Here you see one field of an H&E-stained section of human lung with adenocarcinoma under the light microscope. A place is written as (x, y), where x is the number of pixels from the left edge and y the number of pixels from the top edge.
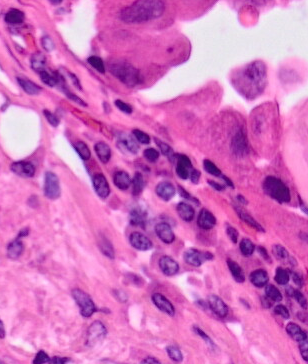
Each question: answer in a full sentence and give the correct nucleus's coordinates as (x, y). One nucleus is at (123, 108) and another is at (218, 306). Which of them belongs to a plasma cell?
The nucleus of a plasma cell lies at (218, 306), not at the other position.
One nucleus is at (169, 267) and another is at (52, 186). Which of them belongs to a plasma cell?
The nucleus that belongs to a plasma cell is located at (169, 267).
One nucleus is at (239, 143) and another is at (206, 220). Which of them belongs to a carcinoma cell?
The nucleus of the pair that lies within a carcinoma cell is at (239, 143).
